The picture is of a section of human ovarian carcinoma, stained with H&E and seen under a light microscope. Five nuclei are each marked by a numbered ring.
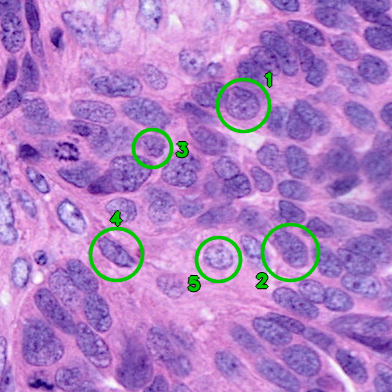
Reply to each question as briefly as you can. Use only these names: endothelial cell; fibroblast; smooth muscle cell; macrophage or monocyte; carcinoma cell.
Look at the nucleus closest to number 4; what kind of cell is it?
carcinoma cell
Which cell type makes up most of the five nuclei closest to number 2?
carcinoma cell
